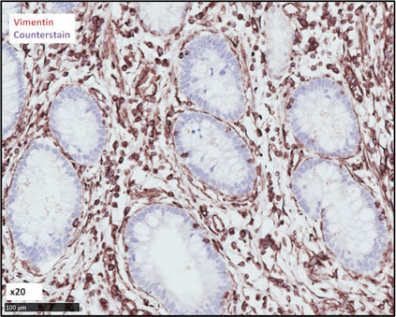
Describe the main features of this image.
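This is intestinal mucosa with crypts cut in cross-section, surrounded by lamina propria. The crypts appear as oval rings of columnar epithelium with pale, mucin-filled goblet cells and blue basal nuclei around small central lumina; the epithelium is unstained. Between the crypts the connective tissue is strongly stained dark brown: elongated, spindle-shaped stromal cells with slender brown cytoplasmic processes wrap closely around each crypt, forming dense cuffs, and scattered rounder brown cells lie in the intervening stroma.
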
